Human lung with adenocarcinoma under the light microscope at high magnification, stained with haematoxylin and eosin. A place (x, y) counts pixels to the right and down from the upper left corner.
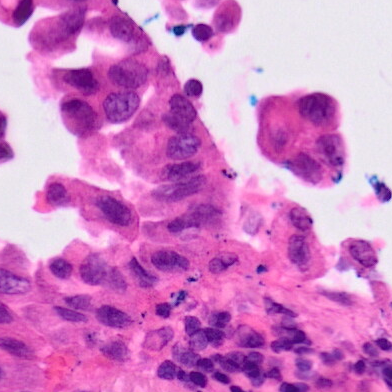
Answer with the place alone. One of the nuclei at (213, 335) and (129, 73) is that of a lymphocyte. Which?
(213, 335)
